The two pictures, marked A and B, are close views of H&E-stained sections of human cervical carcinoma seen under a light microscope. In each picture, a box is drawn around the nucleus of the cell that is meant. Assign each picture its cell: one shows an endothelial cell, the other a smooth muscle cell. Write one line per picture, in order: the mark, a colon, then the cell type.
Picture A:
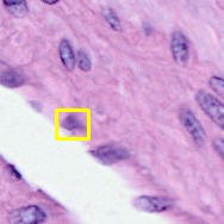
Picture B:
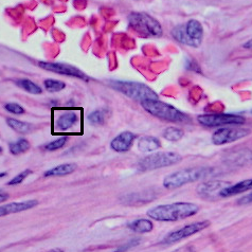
A: endothelial cell
B: smooth muscle cell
